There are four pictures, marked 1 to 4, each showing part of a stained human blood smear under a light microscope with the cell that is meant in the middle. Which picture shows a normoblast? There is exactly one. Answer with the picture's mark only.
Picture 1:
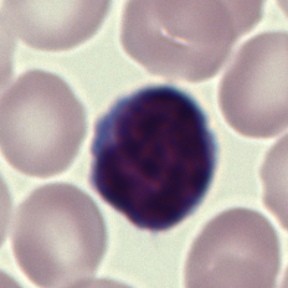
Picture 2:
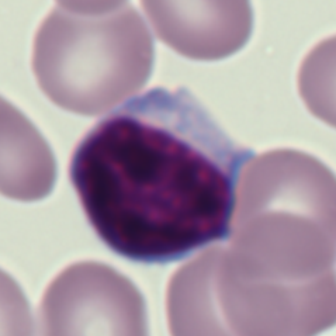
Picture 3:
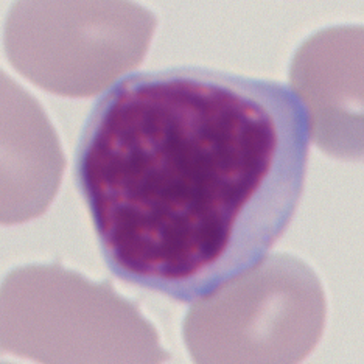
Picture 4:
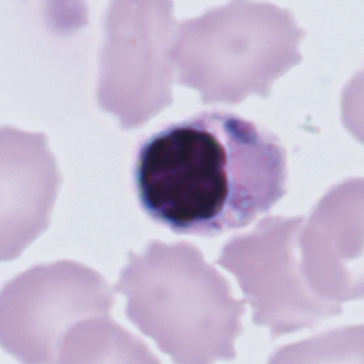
4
